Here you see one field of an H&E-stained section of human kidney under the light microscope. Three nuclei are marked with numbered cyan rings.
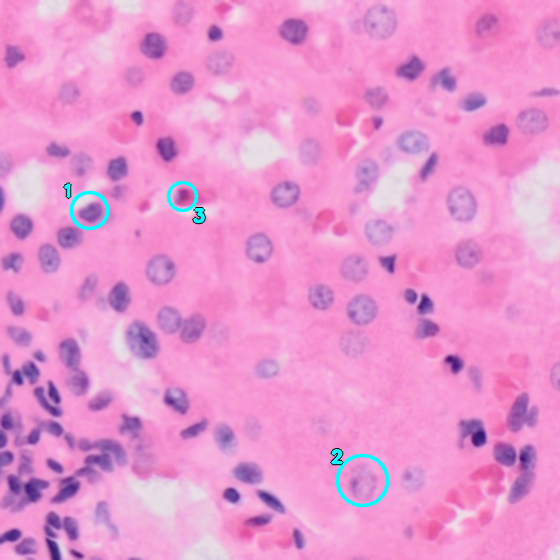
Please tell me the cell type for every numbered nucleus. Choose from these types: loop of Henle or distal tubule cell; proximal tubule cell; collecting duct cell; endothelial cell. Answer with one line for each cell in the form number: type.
1: loop of Henle or distal tubule cell
2: proximal tubule cell
3: endothelial cell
